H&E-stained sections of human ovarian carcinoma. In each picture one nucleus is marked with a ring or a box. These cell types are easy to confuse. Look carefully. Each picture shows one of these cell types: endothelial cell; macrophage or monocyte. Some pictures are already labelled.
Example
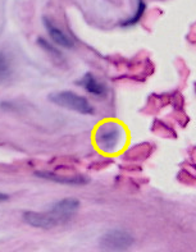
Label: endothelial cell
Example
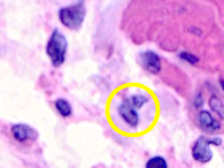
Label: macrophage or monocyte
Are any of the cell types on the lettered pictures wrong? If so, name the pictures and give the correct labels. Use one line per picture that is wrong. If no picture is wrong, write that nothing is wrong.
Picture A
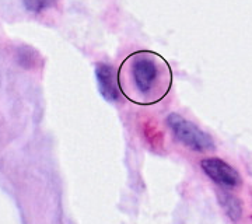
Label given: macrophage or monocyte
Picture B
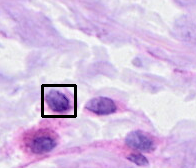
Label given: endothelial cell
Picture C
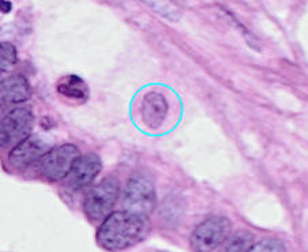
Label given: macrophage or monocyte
B: macrophage or monocyte, not endothelial cell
